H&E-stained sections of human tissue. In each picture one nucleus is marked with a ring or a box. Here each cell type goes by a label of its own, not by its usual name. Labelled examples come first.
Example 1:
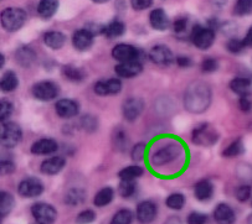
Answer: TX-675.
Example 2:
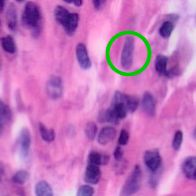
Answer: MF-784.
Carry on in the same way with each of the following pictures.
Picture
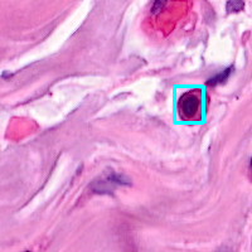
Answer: MF-784.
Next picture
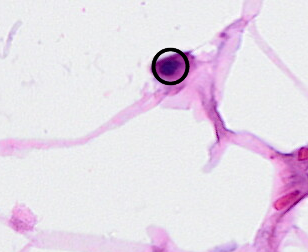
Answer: MF-784.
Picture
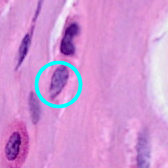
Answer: MF-784.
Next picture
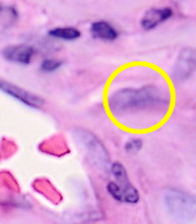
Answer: TX-675.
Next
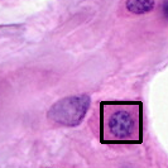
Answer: MF-784.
